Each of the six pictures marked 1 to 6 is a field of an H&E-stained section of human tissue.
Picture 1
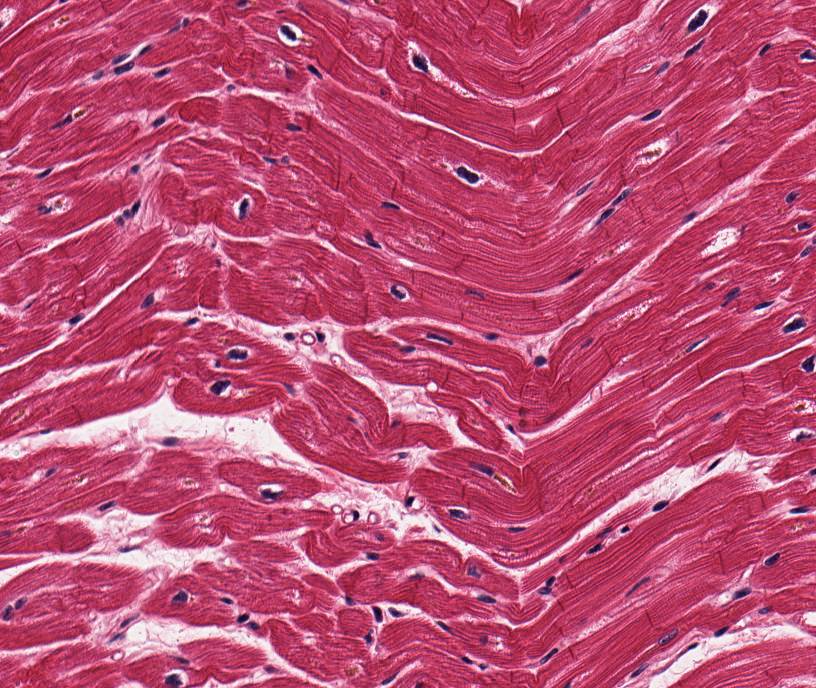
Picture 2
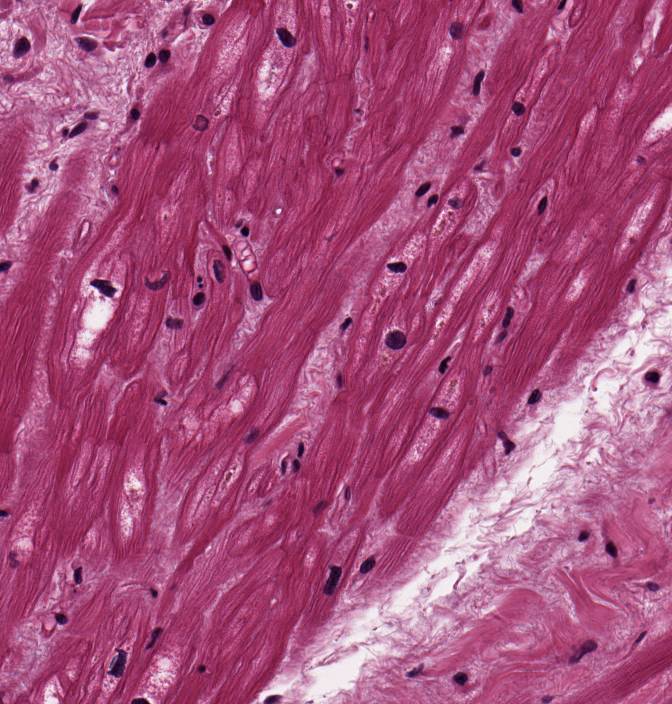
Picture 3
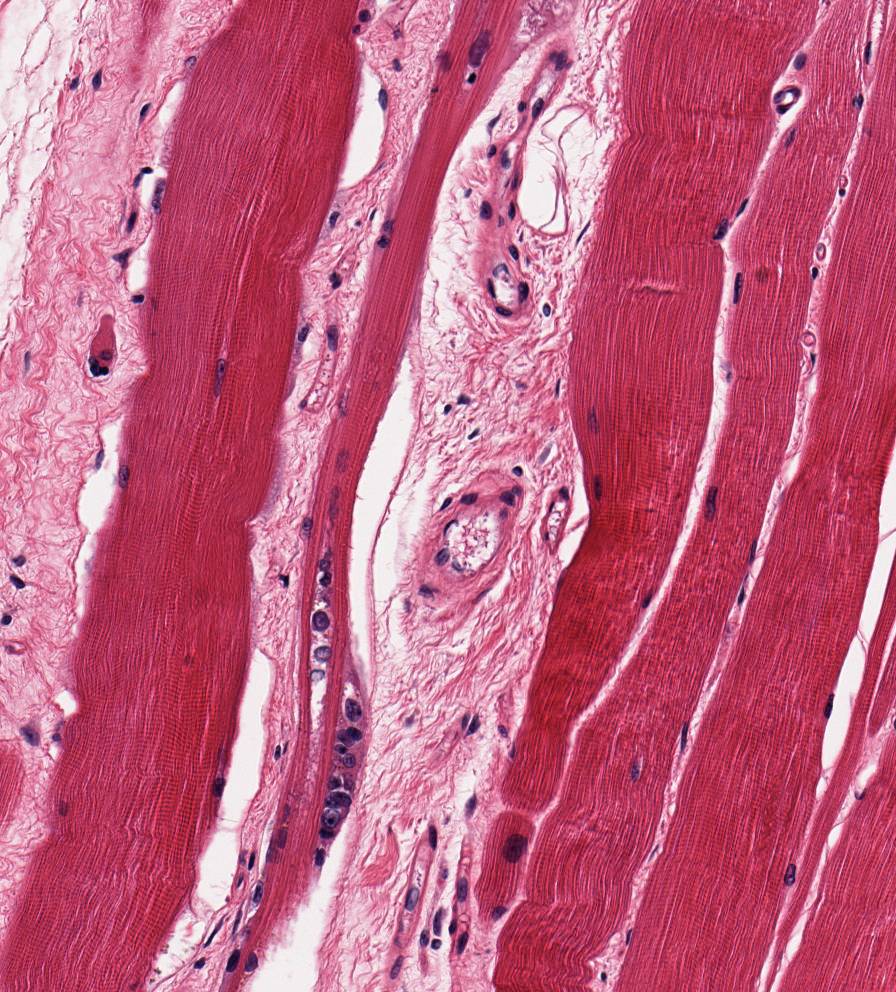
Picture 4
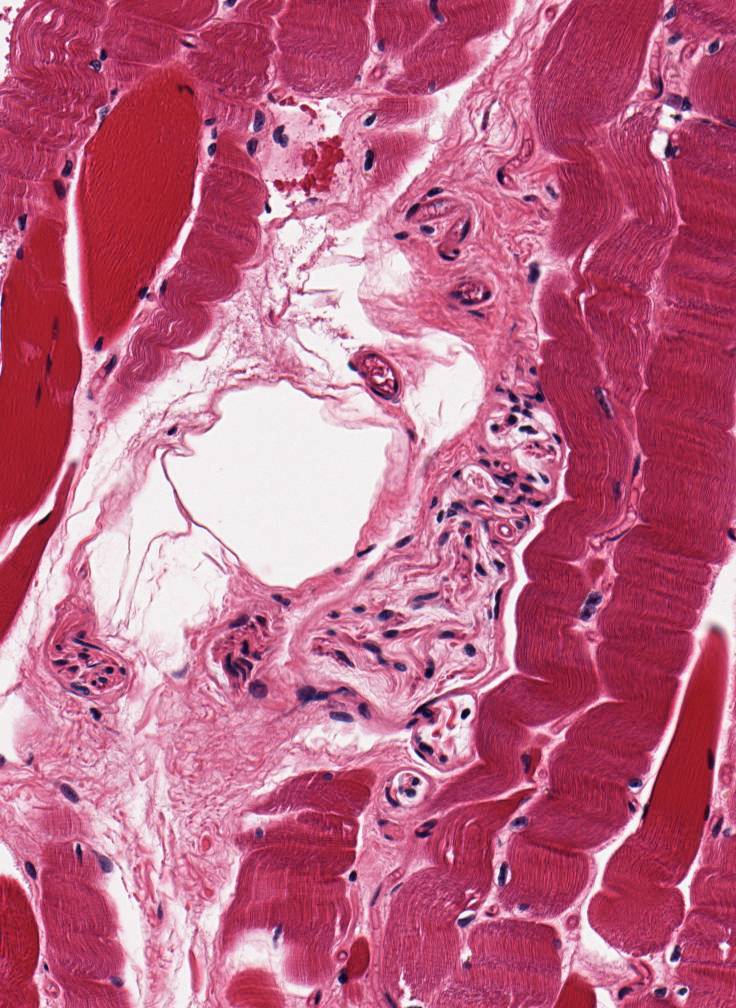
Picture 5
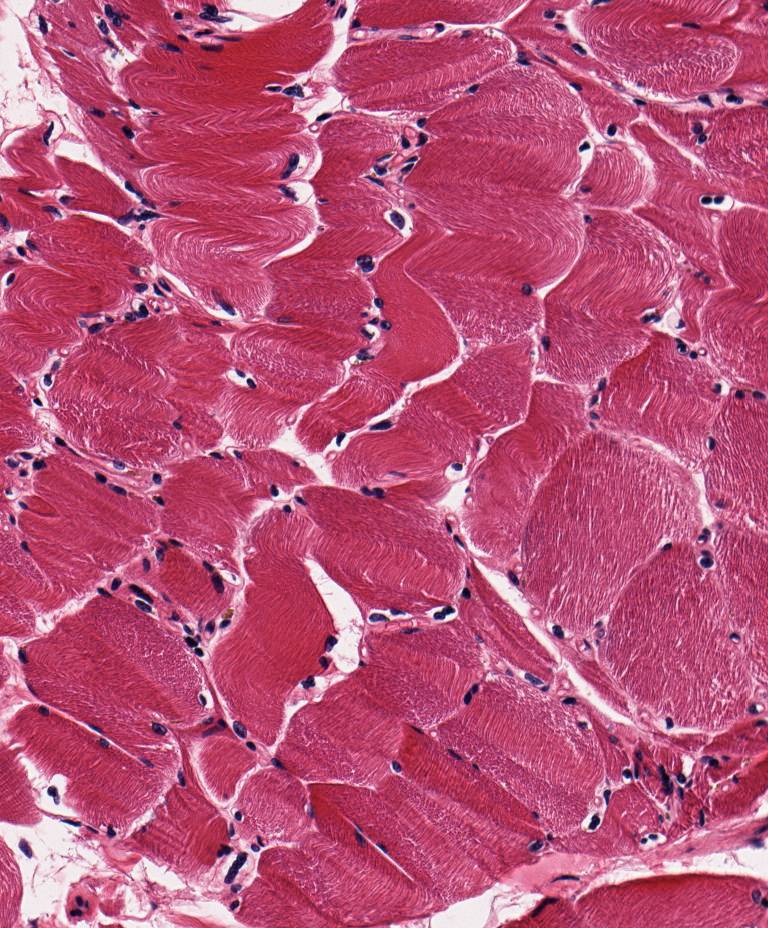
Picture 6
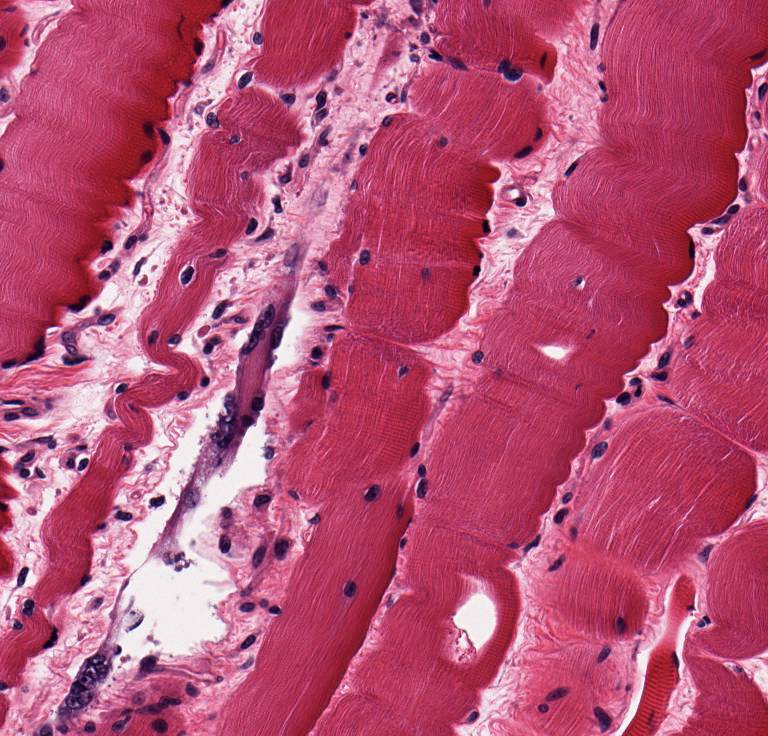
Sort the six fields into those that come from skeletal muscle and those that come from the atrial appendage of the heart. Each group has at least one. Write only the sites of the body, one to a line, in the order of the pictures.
atrial appendage of the heart
atrial appendage of the heart
skeletal muscle
skeletal muscle
skeletal muscle
skeletal muscle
